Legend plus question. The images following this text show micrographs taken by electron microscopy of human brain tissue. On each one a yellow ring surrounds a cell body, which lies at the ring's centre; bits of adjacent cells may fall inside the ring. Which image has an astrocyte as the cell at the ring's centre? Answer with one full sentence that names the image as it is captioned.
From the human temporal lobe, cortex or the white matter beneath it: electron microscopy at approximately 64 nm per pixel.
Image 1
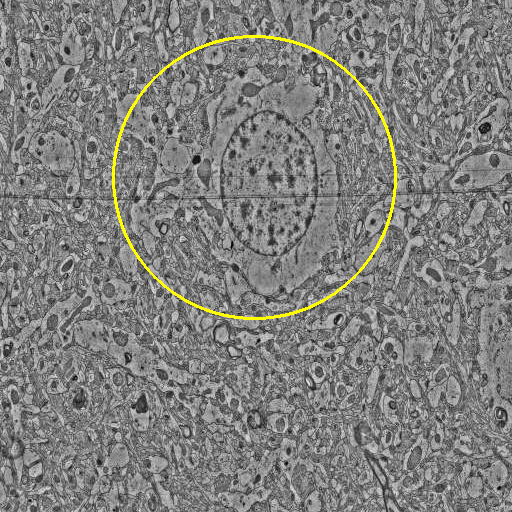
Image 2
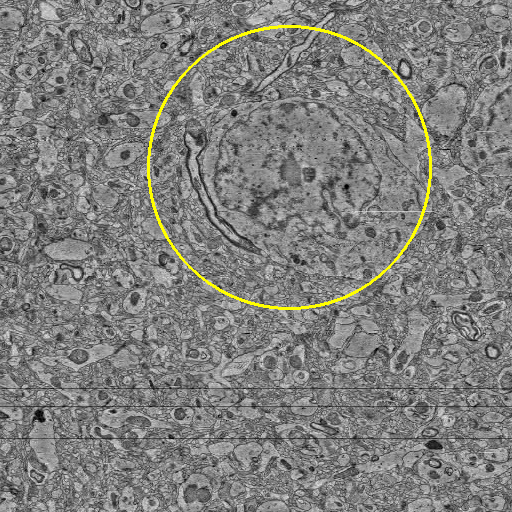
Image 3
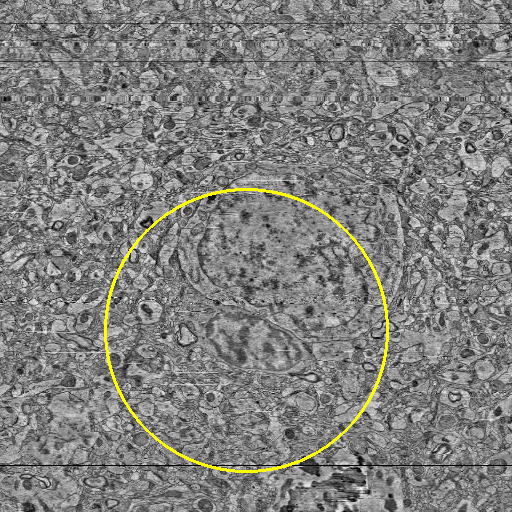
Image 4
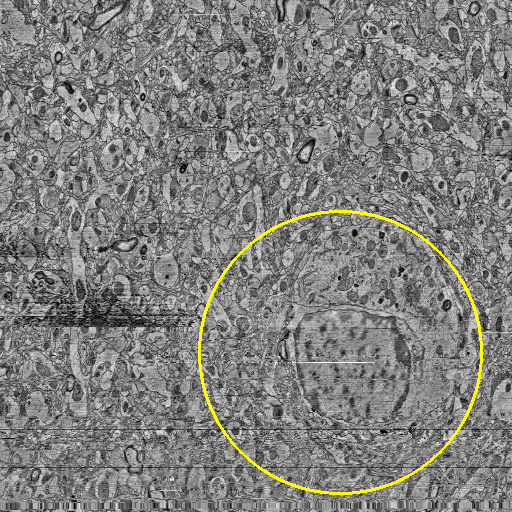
The centred cell that was asked for is the one in Image 1.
